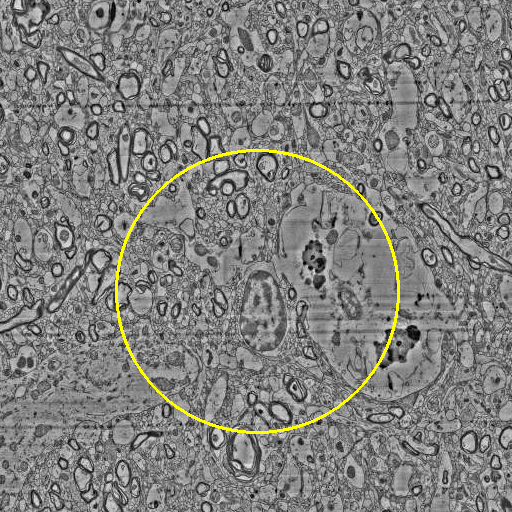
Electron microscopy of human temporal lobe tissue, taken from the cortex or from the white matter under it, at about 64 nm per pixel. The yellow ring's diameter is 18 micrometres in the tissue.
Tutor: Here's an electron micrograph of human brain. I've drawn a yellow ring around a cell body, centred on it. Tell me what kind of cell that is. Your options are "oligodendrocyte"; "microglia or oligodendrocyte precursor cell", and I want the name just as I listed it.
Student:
microglia or oligodendrocyte precursor cell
